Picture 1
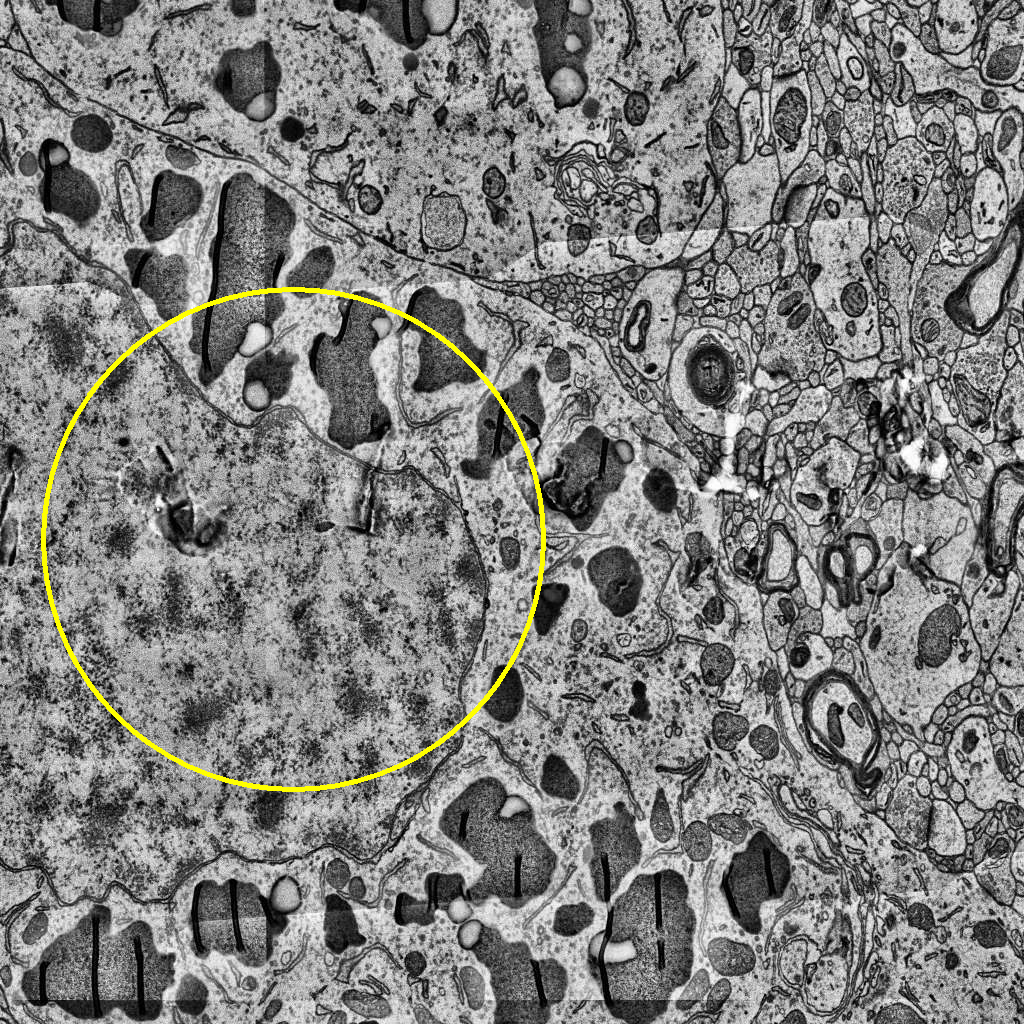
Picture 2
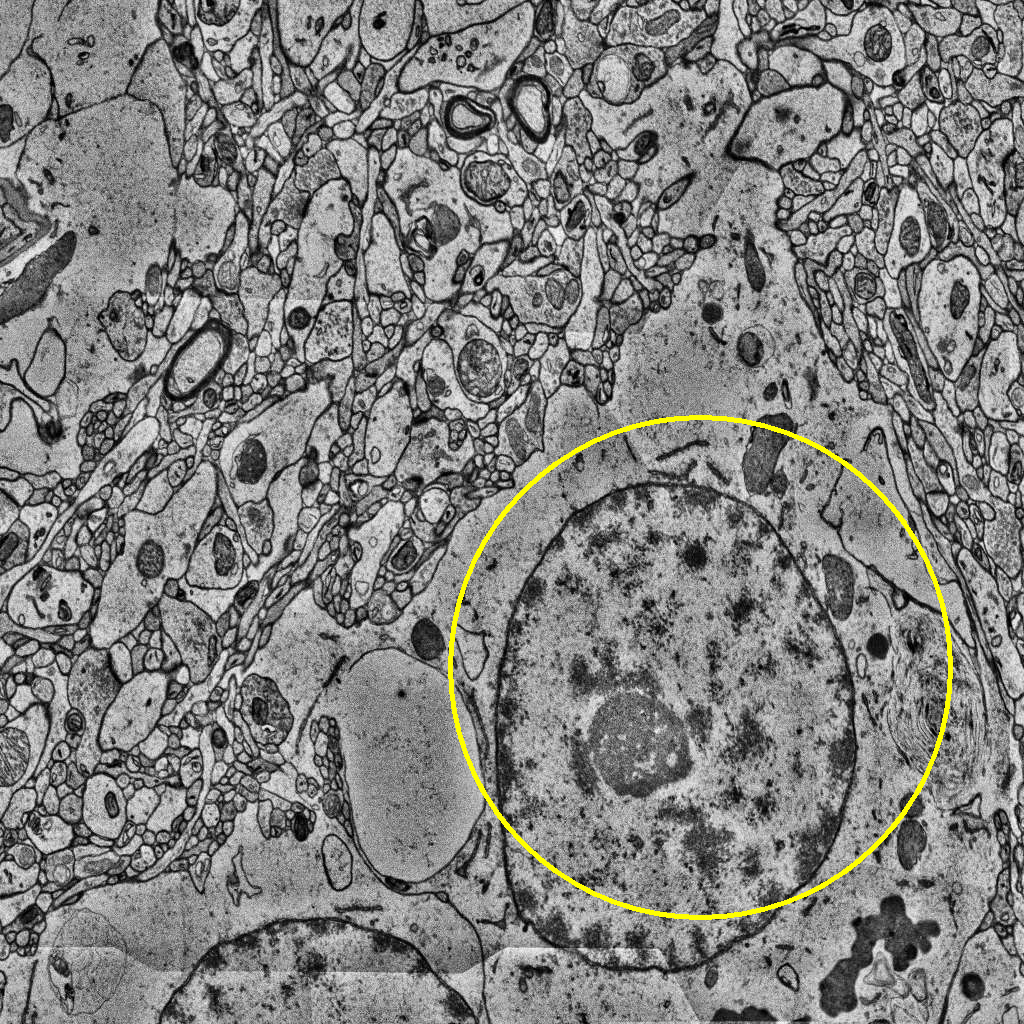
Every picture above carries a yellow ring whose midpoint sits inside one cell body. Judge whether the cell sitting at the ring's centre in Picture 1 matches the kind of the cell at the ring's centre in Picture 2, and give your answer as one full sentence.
No, the cells at the centres of the rings in Pictures 1 and 2 belong to two kinds.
